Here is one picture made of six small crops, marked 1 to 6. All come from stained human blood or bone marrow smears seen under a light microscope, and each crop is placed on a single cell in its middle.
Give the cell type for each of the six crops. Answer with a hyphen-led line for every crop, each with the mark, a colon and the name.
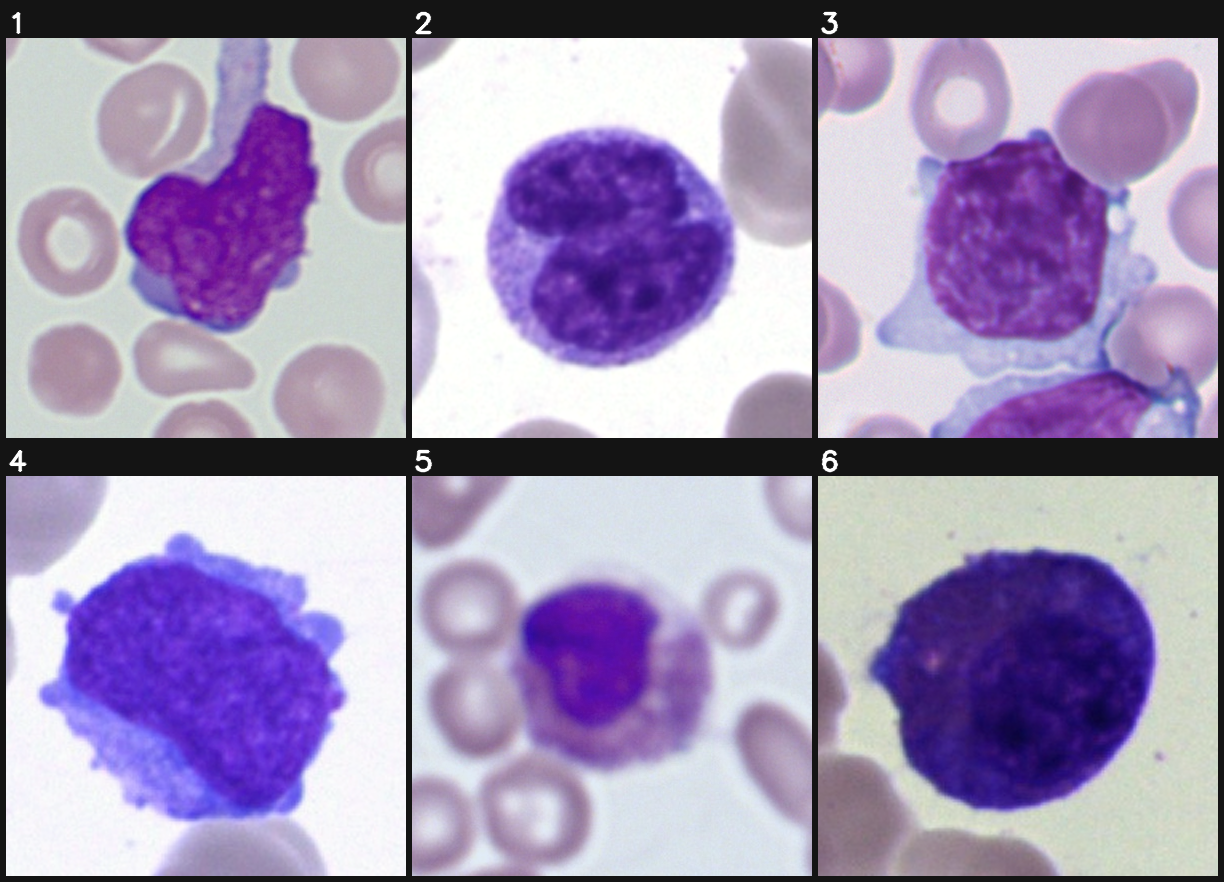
- 1: blast
- 2: monocyte
- 3: blast
- 4: blast
- 5: eosinophil
- 6: eosinophil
